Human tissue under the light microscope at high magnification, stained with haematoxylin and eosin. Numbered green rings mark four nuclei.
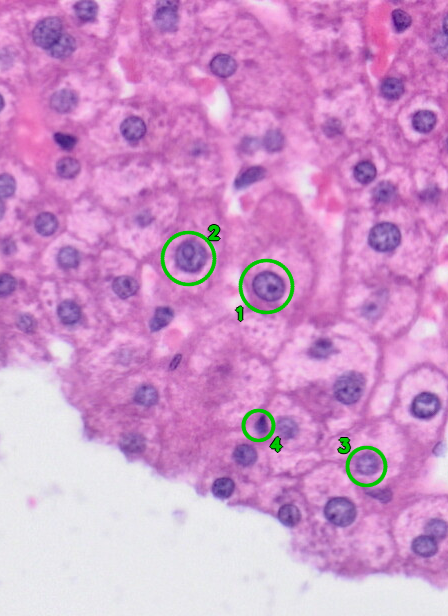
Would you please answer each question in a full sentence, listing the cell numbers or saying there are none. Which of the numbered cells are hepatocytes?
The numbers 1, 2 and 3 mark cells that are hepatocytes.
